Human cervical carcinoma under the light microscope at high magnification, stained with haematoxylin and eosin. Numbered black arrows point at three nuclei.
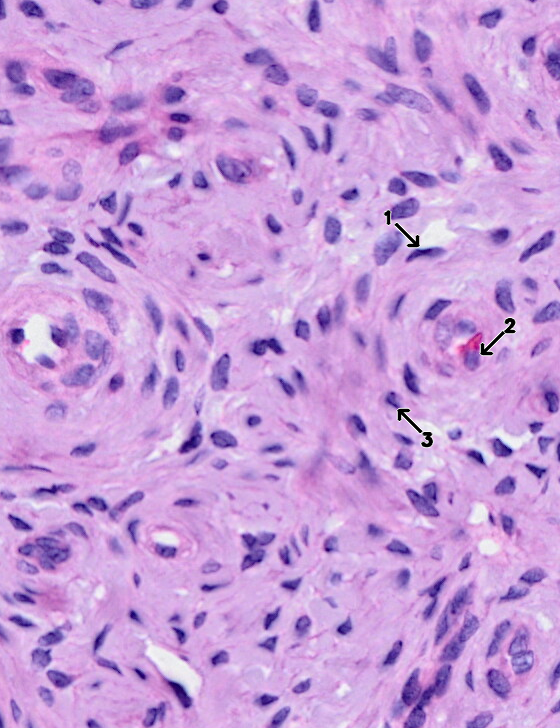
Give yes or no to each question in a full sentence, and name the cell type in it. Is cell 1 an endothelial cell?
No, cell 1 has been misnamed; it is a fibroblast, not an endothelial cell.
